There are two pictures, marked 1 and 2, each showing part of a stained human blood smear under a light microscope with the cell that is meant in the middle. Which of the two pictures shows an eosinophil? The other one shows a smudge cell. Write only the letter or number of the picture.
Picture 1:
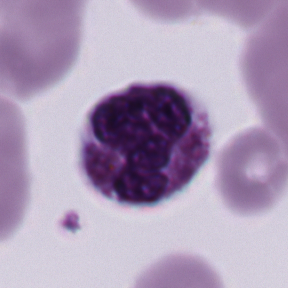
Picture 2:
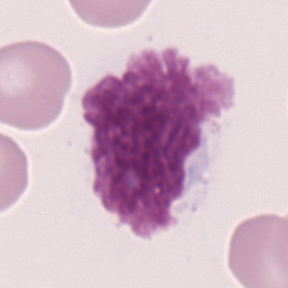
1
